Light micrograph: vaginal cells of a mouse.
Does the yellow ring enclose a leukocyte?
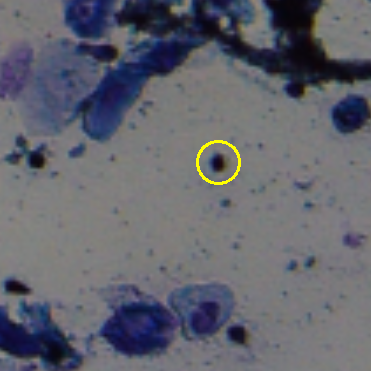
Yes. The ring encloses a leukocyte.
